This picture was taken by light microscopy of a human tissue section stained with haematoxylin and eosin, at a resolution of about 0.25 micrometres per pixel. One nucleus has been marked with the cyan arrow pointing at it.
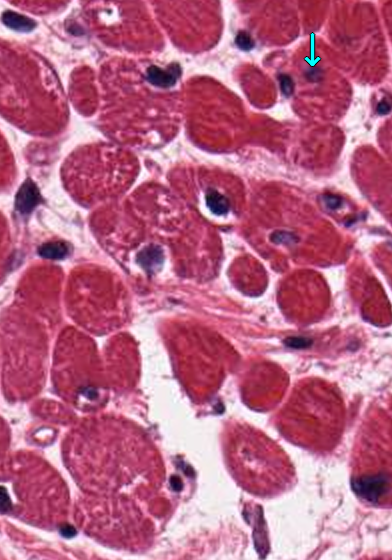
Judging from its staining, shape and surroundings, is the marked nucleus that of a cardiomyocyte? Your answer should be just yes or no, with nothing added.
yes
